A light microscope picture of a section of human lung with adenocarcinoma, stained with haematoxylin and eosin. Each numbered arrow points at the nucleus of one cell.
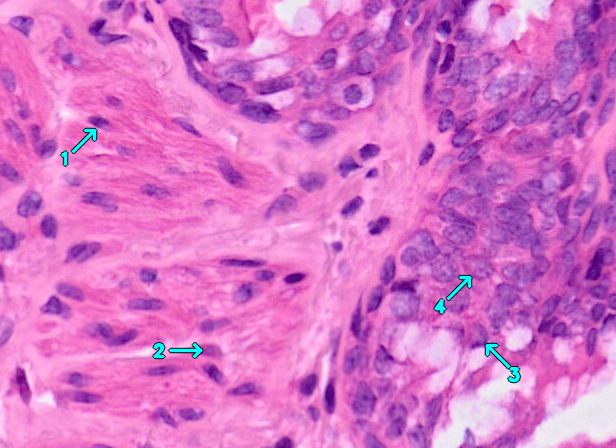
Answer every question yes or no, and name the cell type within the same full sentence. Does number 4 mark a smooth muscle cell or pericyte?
No, as for cell 4, it is a ciliated epithelial cell and not a smooth muscle cell or pericyte.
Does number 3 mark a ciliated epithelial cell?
Yes, the cell shown as number 3 is a ciliated epithelial cell.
